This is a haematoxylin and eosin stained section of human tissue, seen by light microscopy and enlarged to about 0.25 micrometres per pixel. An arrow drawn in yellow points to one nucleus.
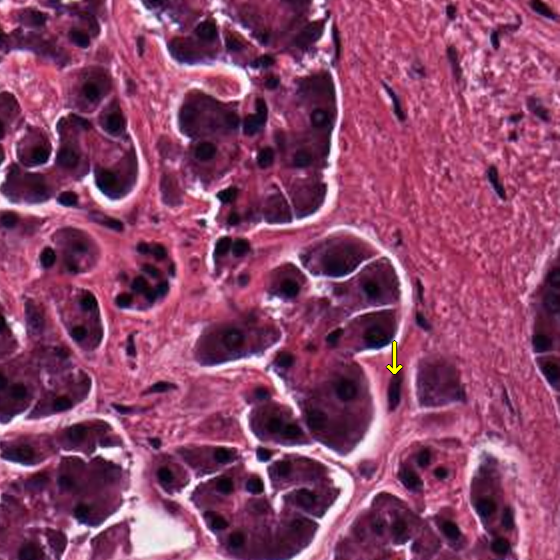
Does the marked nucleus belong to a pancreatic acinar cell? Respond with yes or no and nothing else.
no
